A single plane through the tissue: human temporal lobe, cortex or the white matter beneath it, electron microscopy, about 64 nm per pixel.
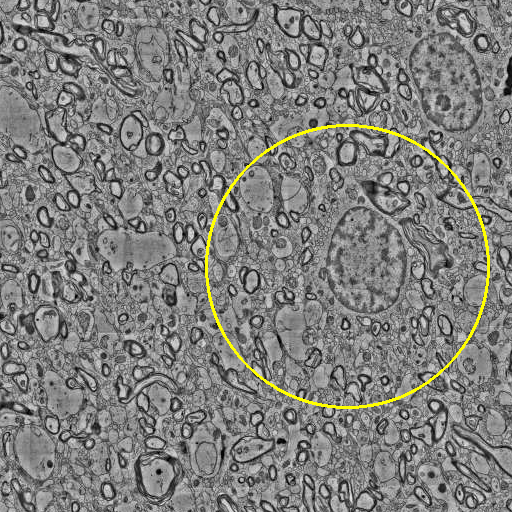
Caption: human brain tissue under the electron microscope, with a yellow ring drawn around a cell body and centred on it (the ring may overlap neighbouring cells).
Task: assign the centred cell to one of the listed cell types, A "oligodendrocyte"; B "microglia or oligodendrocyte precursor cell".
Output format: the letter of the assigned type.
A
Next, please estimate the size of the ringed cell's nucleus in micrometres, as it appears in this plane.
In this plane the nucleus measures roughly 7 by 5 micrometers.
